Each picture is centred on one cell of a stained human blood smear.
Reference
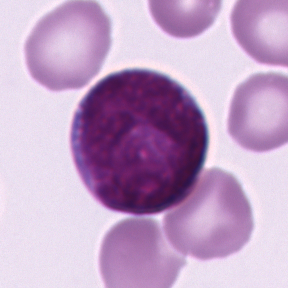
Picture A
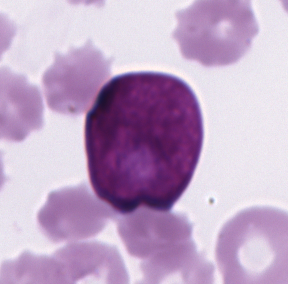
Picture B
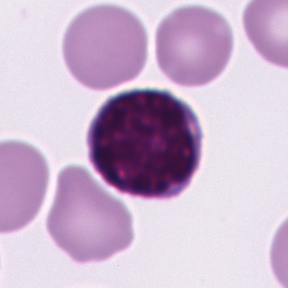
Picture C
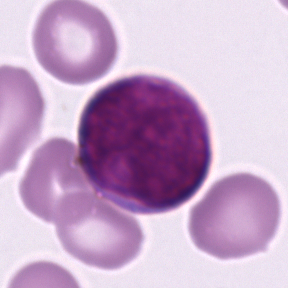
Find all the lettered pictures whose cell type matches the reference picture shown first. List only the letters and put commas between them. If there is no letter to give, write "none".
A, C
